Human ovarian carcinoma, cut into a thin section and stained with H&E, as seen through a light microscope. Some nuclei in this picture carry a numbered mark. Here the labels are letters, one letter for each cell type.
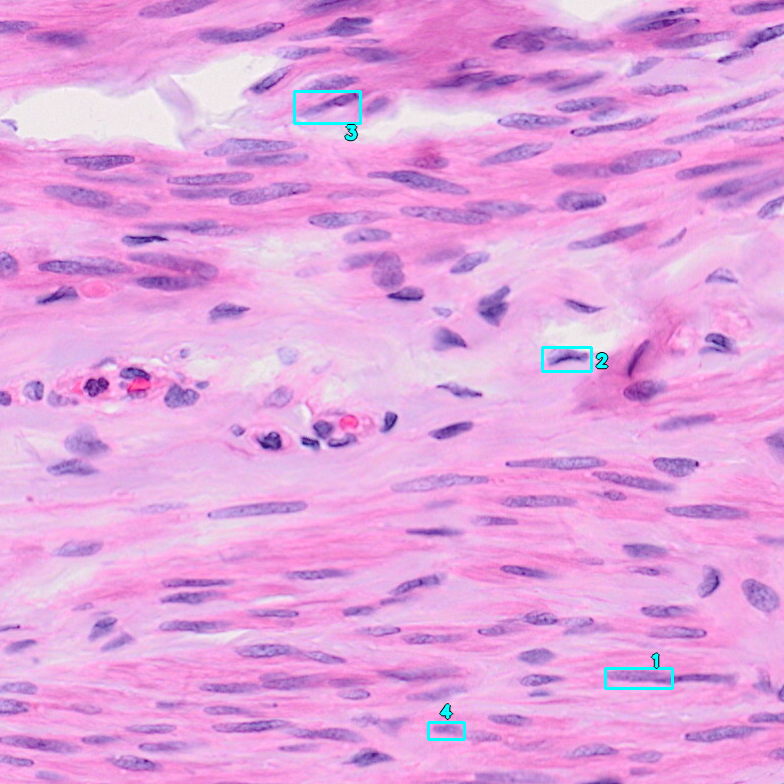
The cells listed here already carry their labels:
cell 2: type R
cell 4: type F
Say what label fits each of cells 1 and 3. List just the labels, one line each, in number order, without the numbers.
type F
type F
